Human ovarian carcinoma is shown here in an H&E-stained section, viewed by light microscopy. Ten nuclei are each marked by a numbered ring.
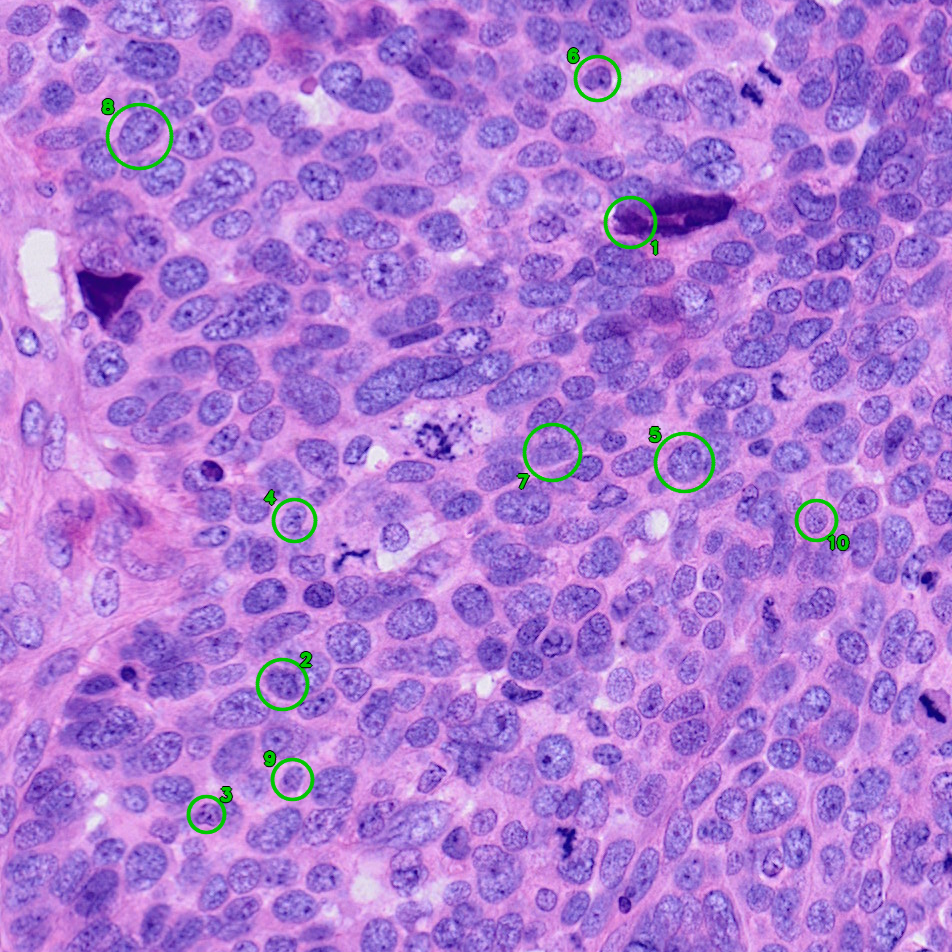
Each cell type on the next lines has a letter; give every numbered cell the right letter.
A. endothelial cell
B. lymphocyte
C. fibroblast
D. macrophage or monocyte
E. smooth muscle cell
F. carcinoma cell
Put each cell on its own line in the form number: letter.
1: F
2: F
3: D
4: D
5: F
6: D
7: F
8: F
9: D
10: F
